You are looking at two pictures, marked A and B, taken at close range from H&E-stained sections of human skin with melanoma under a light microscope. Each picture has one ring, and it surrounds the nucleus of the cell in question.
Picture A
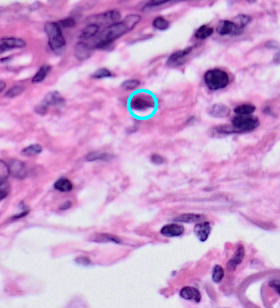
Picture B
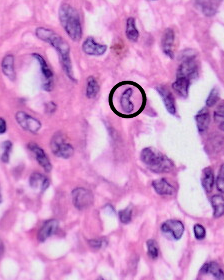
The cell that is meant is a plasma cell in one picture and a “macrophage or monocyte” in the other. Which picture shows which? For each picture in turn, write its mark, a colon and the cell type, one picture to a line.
A: plasma cell
B: macrophage or monocyte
